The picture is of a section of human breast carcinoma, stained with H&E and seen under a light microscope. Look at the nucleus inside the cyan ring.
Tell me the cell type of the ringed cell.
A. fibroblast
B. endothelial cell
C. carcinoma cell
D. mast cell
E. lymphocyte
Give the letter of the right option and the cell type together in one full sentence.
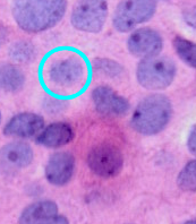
Option C gets it right: the ringed cell is a carcinoma cell.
